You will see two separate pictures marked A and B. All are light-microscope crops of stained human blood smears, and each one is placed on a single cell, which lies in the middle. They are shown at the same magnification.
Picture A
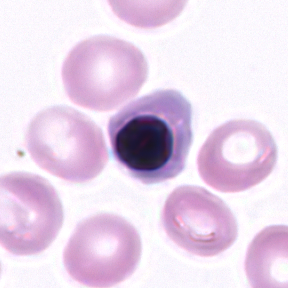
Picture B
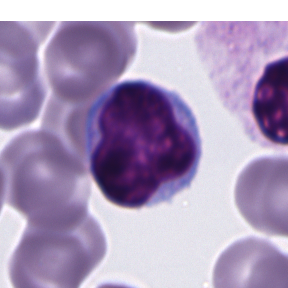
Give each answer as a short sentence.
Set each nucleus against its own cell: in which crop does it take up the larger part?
The nucleus fills more of the cell in picture B than in picture A.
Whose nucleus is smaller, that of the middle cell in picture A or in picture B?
It is the nucleus in picture A; the one in picture B has about 4 times its area.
